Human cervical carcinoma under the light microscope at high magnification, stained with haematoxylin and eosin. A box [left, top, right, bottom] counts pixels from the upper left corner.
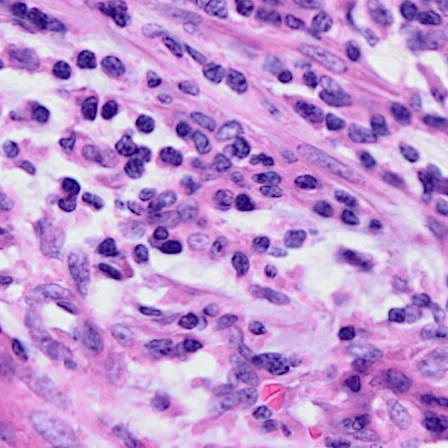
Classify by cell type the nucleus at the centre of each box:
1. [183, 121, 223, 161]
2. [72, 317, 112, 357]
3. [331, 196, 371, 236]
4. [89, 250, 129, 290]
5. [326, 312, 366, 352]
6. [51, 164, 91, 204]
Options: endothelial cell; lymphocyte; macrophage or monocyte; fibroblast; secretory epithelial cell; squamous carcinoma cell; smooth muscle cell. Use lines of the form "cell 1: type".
cell 1: endothelial cell
cell 2: endothelial cell
cell 3: lymphocyte
cell 4: lymphocyte
cell 5: lymphocyte
cell 6: lymphocyte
